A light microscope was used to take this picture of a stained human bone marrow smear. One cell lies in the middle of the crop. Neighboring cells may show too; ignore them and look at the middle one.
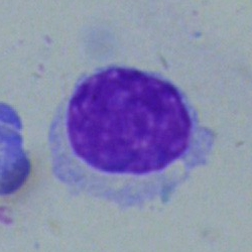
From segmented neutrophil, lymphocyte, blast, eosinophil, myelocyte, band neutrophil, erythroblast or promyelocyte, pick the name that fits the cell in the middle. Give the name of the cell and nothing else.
lymphocyte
